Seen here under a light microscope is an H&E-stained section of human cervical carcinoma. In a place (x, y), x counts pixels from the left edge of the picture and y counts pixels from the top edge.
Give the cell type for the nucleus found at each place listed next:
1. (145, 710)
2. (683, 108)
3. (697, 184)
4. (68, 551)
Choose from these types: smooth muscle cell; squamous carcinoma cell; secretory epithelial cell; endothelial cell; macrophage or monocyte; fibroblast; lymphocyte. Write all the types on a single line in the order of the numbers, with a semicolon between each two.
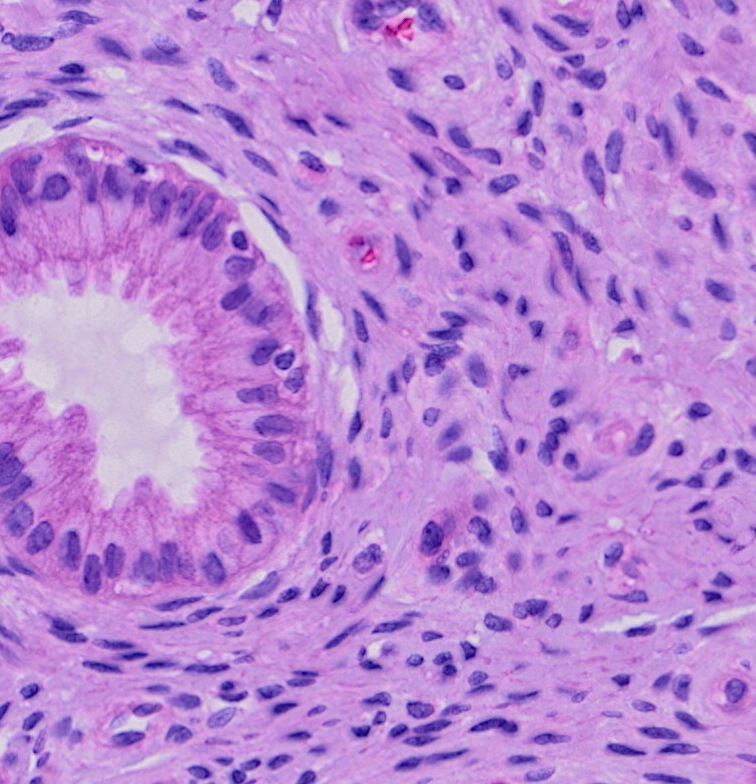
endothelial cell; fibroblast; fibroblast; secretory epithelial cell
